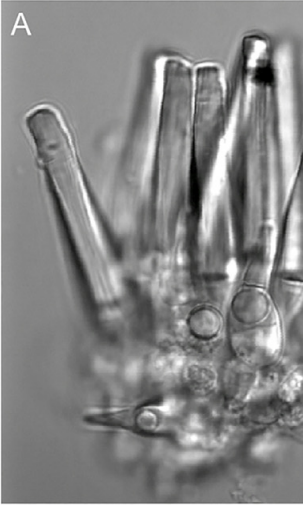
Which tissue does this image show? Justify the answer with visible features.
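A cluster of long rod-shaped outer segments projecting from a common base. Rounded inner segments and cell bodies at the base of the cluster. On this evidence: retinal tissues.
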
